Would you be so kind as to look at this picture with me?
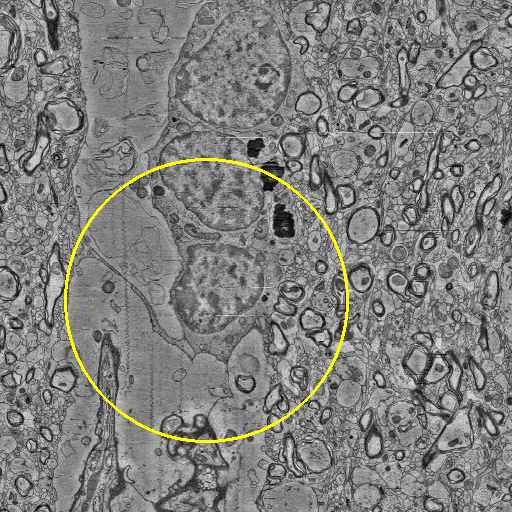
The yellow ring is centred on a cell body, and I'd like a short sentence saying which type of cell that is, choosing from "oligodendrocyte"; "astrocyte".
The cell body in the ring belongs to an oligodendrocyte.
